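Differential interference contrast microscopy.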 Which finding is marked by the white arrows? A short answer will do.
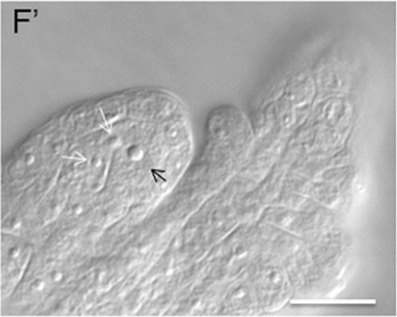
Abnormal, enlarged cells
